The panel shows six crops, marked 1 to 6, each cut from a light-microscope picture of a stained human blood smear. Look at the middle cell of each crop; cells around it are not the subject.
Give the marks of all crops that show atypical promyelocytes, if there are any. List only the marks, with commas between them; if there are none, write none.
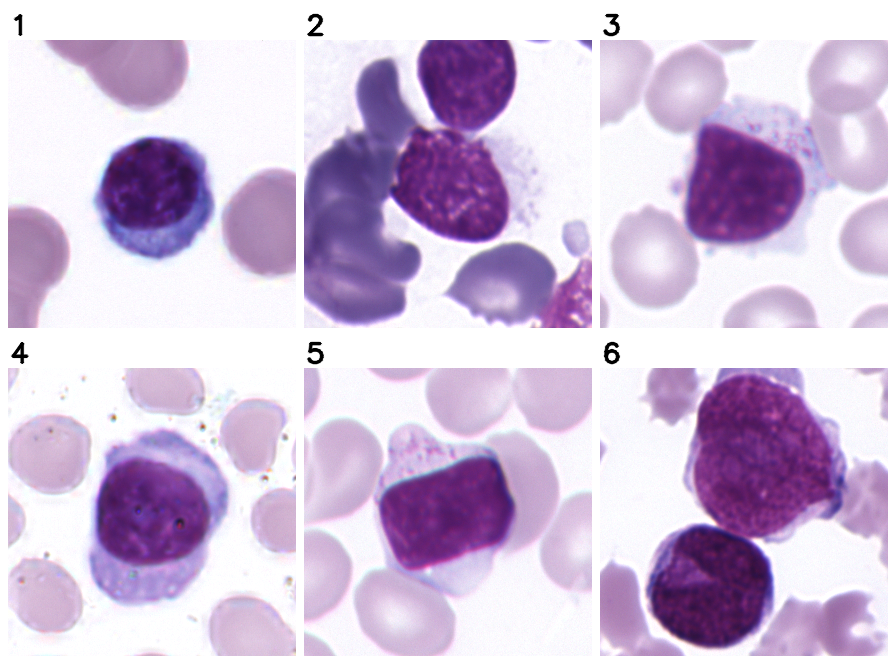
none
